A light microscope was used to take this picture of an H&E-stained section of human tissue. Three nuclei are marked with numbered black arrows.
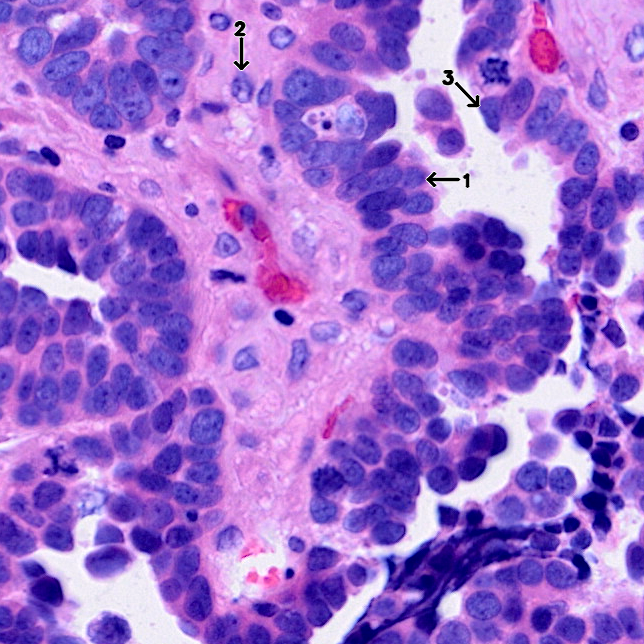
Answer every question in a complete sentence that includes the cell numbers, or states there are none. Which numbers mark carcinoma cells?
Identified as carcinoma cells are the cells numbered 1 and 3.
